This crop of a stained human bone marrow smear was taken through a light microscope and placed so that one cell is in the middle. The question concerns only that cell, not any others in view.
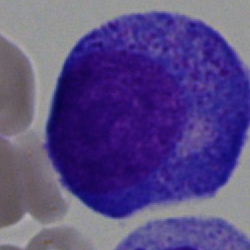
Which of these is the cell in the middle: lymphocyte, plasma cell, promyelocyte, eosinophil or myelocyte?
promyelocyte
